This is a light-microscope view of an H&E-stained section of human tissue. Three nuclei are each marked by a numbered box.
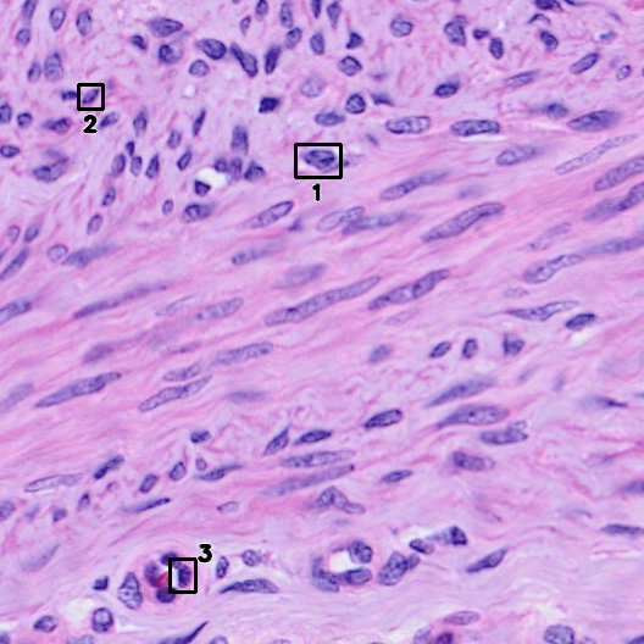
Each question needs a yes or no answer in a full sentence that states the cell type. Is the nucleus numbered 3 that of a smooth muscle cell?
No, the cell given the number 3 is an endothelial cell, so not a smooth muscle cell.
